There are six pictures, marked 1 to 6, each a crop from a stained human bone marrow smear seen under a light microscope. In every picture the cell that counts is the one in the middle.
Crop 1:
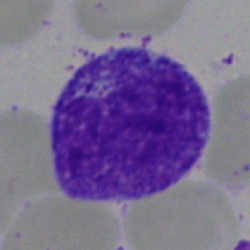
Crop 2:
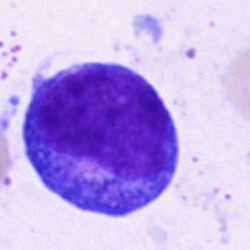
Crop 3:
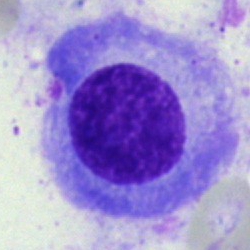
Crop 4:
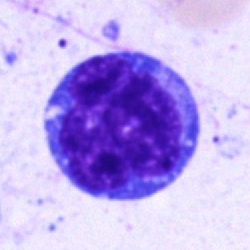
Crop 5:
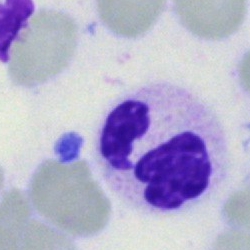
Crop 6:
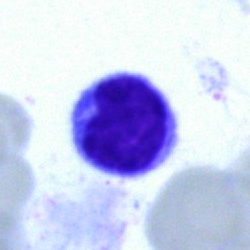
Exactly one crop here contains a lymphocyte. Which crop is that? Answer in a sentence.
Of the cells presented, the one in crop 6 is a lymphocyte.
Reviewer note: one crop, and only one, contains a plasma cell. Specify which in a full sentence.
Crop 3 is the single crop that shows a plasma cell.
